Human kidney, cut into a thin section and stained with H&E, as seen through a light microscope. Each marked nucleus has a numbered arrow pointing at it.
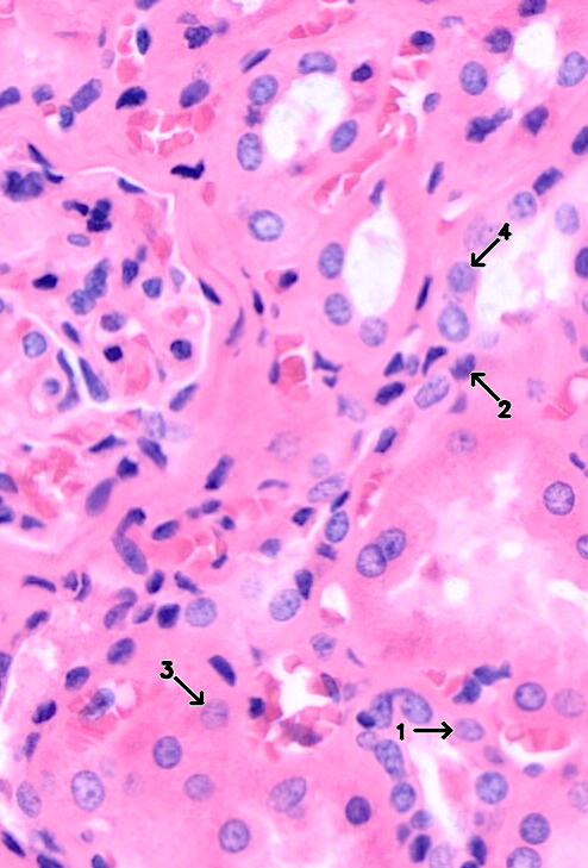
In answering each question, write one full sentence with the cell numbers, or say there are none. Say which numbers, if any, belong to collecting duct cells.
The cells picked out by numbers 1, 2 and 4 are collecting duct cells.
